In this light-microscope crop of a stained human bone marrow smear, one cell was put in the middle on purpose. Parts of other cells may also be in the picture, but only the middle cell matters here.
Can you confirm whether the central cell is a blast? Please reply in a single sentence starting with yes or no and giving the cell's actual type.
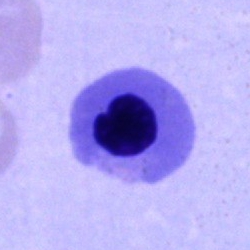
No, the central cell here is an erythroblast; calling it a blast is not right.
